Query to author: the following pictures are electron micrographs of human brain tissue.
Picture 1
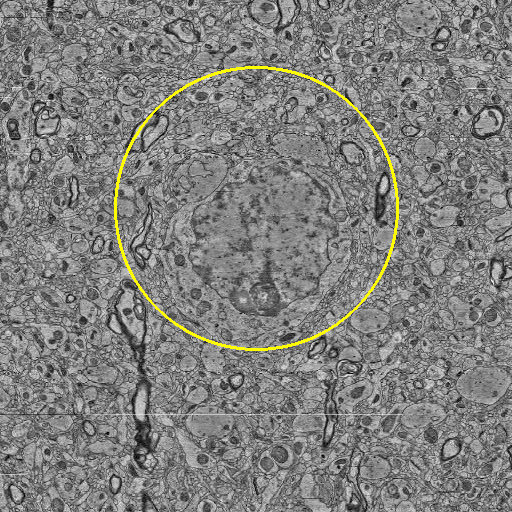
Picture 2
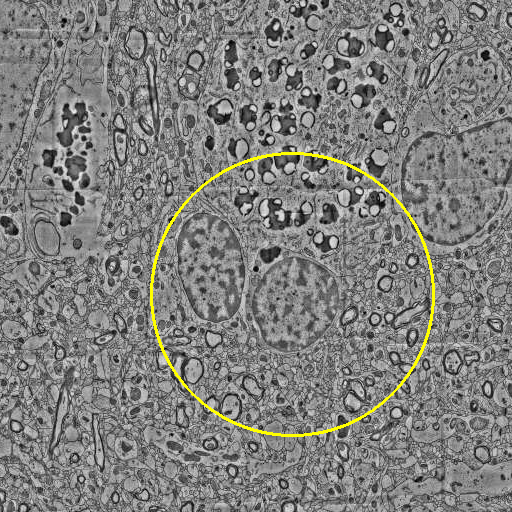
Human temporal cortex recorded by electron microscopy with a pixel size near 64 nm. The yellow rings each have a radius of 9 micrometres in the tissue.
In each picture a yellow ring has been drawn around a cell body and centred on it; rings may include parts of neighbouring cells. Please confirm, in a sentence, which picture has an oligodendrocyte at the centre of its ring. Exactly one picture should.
Picture 2 has it at the centre of its ring.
